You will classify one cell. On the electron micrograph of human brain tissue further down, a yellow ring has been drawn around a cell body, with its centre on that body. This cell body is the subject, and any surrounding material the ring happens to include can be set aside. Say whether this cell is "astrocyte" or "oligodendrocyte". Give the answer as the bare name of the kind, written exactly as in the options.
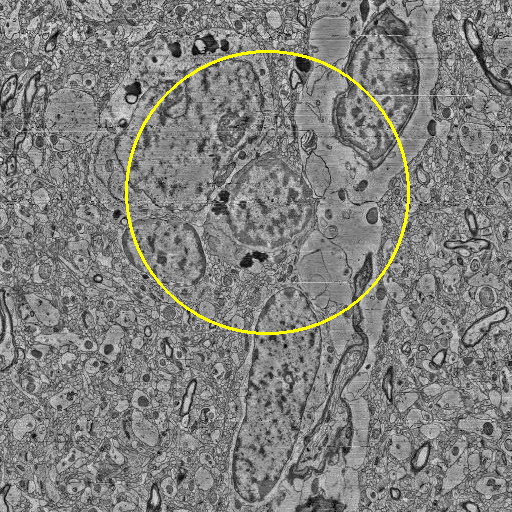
oligodendrocyte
